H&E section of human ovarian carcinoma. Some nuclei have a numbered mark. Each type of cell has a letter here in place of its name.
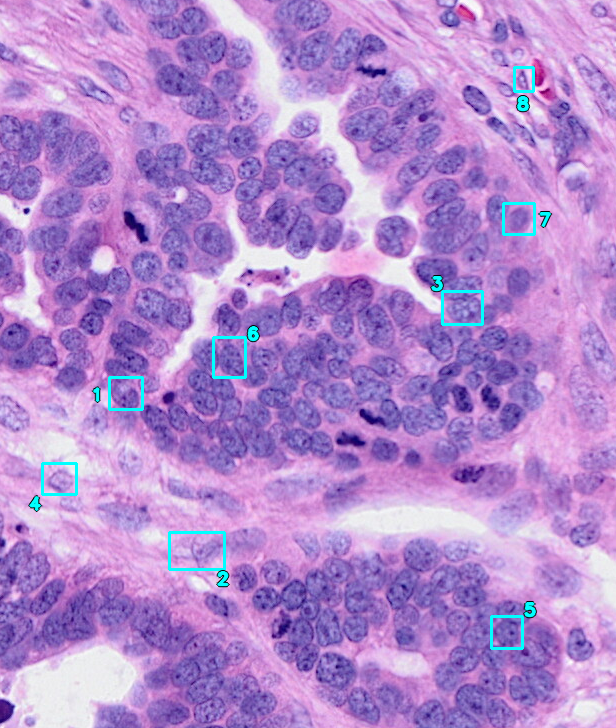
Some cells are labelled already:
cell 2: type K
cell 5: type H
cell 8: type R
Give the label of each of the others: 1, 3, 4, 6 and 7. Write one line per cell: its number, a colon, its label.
1: type H
3: type H
4: type K
6: type H
7: type H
